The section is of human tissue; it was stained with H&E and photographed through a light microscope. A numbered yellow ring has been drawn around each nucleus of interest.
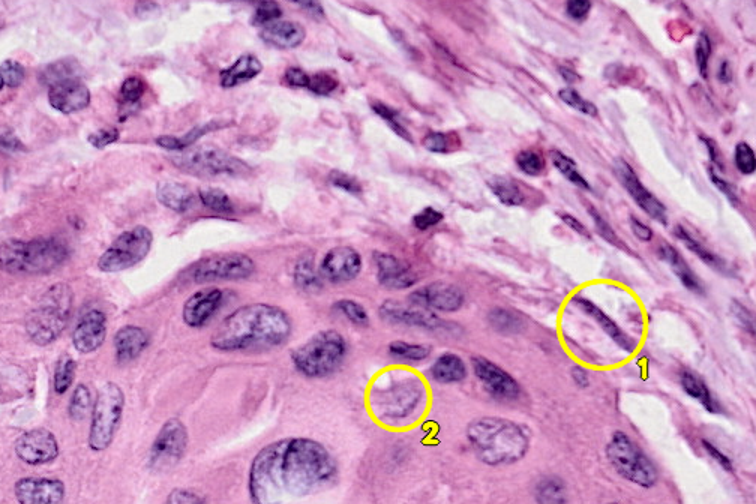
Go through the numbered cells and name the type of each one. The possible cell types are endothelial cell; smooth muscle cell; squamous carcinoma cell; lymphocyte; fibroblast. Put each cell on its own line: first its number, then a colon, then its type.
1: fibroblast
2: squamous carcinoma cell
